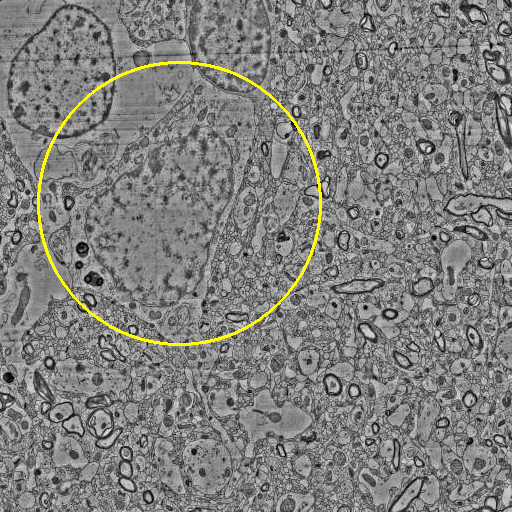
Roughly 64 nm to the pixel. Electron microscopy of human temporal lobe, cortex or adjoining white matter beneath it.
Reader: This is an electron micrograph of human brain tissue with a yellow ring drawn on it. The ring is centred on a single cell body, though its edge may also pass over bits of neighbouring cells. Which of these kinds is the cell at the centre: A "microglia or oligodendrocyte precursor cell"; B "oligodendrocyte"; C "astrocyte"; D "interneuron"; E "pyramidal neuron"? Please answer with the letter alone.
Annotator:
D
